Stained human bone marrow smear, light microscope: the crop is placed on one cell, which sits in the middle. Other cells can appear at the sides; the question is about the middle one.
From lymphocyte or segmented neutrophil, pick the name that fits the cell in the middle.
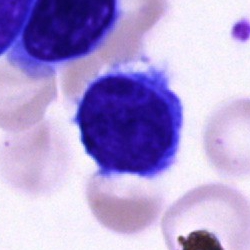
lymphocyte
